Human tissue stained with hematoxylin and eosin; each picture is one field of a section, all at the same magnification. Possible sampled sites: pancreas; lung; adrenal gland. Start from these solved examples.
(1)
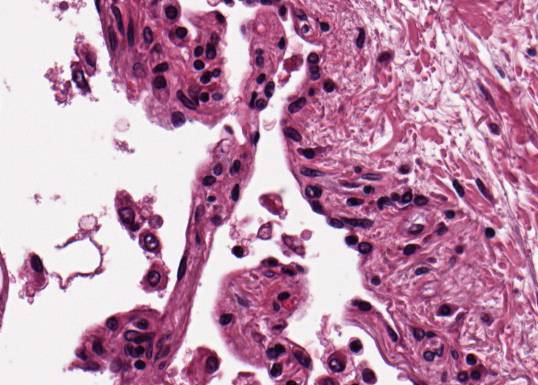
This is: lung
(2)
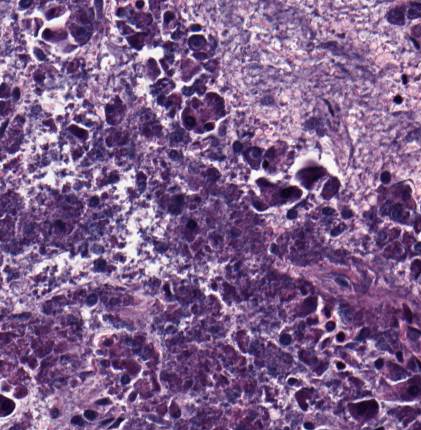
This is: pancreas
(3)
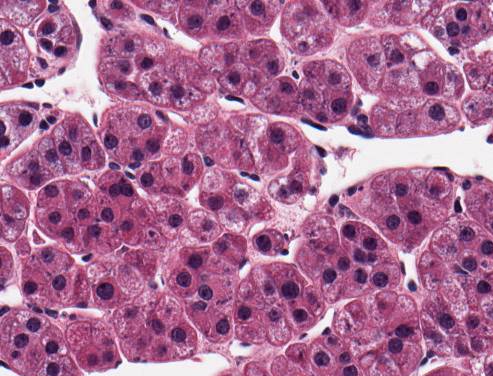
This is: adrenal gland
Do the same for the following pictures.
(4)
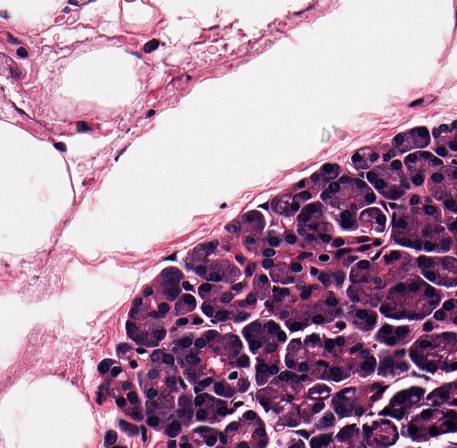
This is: pancreas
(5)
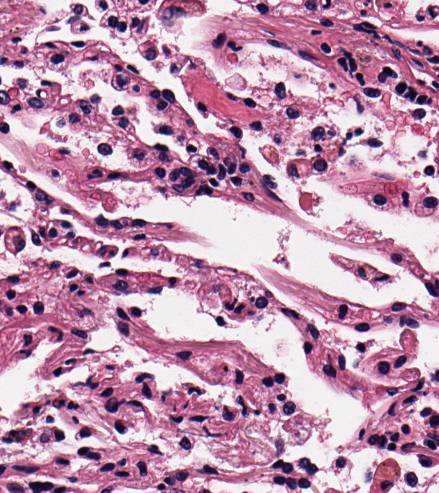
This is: lung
